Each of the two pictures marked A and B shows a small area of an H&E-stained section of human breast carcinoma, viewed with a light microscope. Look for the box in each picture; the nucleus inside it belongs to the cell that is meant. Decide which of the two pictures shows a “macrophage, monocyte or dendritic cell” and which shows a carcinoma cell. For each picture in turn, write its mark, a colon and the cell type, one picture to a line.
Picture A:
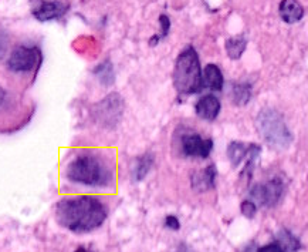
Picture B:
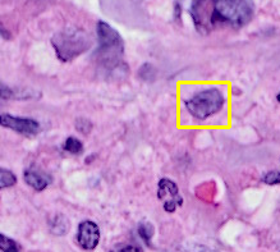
A: carcinoma cell
B: macrophage, monocyte or dendritic cell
